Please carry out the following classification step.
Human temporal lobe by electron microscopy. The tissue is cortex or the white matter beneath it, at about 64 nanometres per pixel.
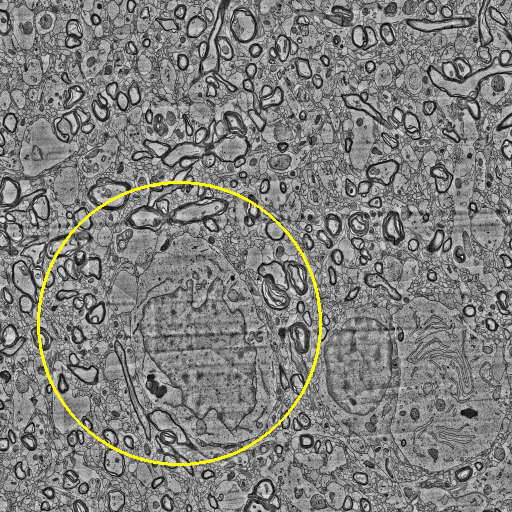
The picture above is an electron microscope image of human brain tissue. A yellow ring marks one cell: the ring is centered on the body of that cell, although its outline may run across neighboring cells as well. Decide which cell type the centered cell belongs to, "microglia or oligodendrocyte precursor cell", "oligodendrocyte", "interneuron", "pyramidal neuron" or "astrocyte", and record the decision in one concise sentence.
The cell centered in the yellow ring is an interneuron.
